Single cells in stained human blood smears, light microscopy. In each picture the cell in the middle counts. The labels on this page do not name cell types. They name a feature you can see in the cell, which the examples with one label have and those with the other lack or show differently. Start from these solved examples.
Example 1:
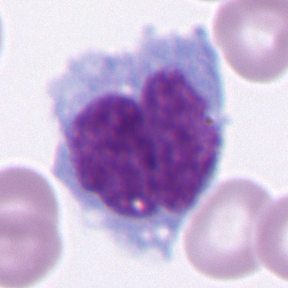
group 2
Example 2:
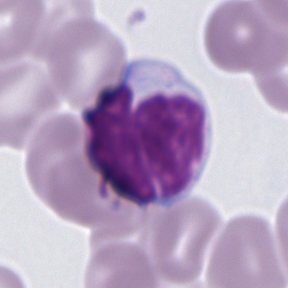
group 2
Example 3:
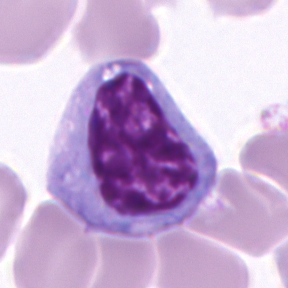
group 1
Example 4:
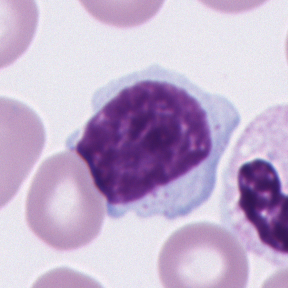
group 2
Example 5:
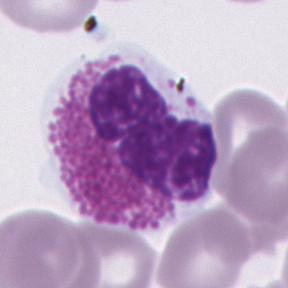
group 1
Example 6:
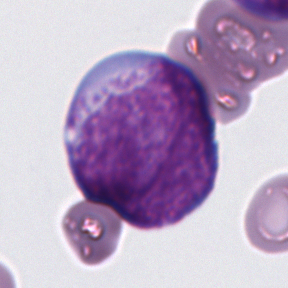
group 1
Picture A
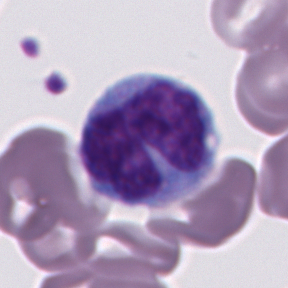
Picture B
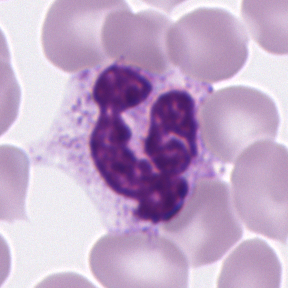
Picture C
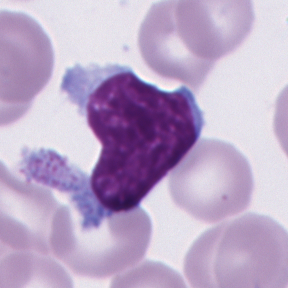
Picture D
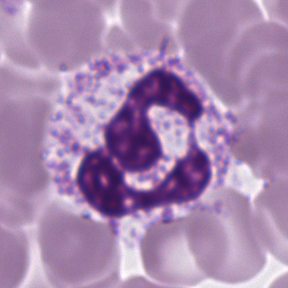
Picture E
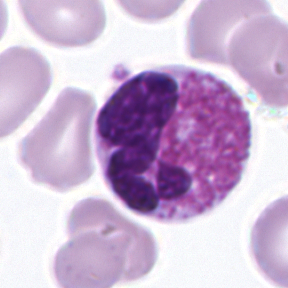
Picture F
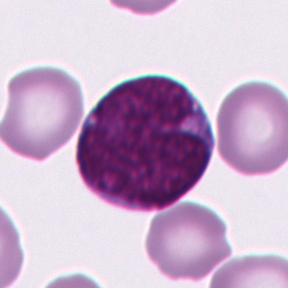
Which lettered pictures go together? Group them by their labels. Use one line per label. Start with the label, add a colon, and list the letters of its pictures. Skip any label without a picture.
group 2: B, C, D
group 1: A, E, F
